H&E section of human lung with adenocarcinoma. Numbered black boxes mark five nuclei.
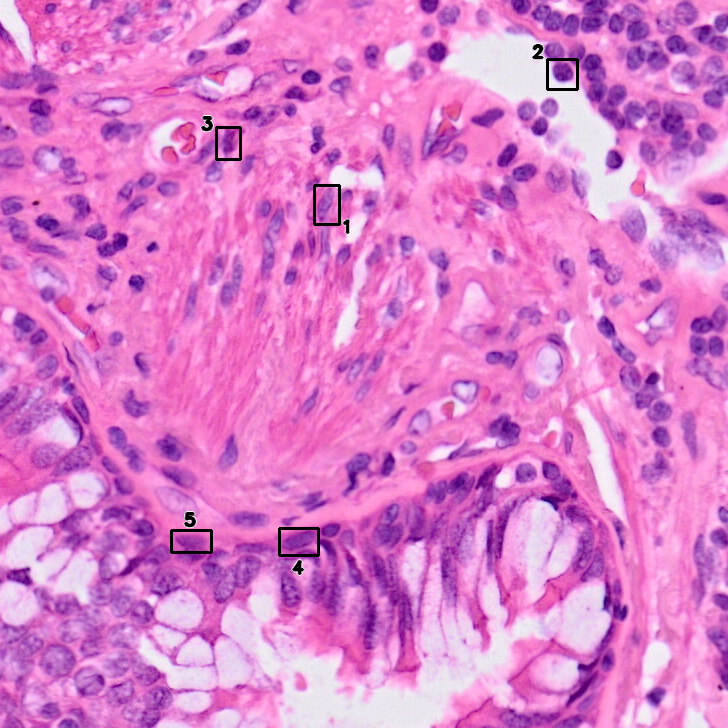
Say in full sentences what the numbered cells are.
Cell 1 is a smooth muscle cell or pericyte. Cell 2 is a lymphocyte. Cell 3 is a plasma cell. Cells 4 and 5 are ciliated epithelial cells.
